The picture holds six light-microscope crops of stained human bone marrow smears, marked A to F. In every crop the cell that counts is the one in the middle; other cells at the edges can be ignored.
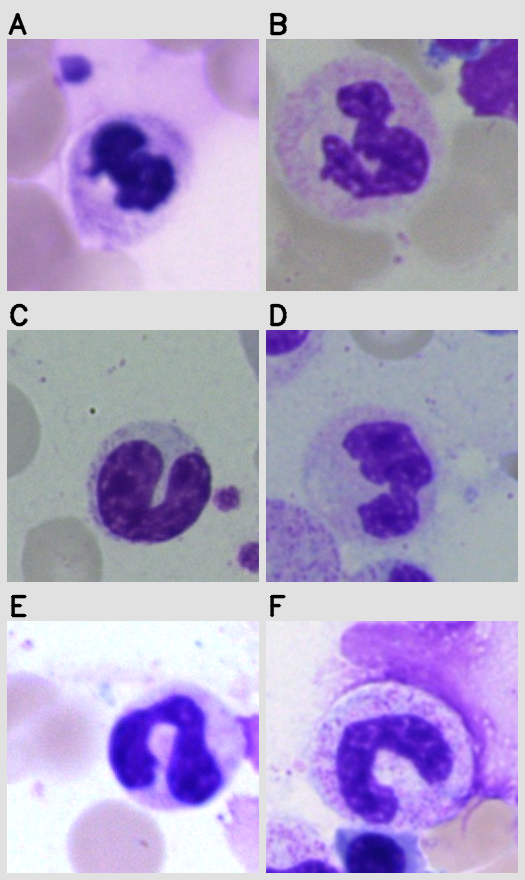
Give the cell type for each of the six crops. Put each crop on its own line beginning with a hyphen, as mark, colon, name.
- A: segmented neutrophil
- B: segmented neutrophil
- C: band neutrophil
- D: segmented neutrophil
- E: segmented neutrophil
- F: band neutrophil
